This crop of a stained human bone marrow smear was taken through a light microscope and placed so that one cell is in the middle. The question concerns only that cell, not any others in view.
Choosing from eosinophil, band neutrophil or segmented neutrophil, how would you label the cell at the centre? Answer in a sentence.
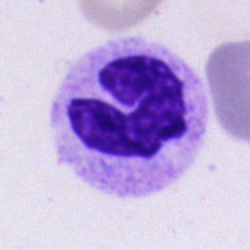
On this slide crop, the central cell is a band neutrophil.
